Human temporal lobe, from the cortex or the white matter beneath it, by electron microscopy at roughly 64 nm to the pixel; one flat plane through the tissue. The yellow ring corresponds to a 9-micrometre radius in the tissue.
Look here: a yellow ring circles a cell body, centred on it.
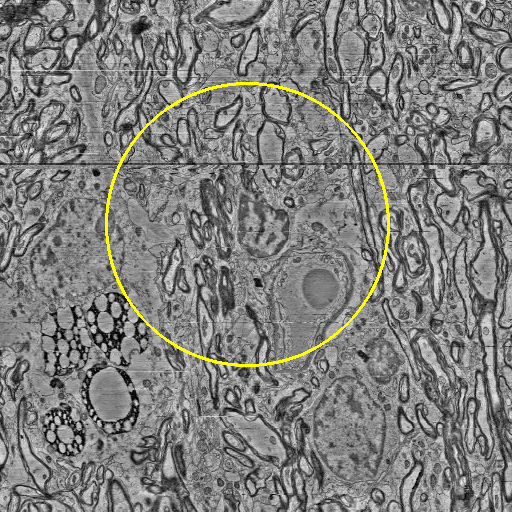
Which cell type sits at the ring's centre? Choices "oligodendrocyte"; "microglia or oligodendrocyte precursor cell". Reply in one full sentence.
The cell at the centre of the yellow ring in the picture is a microglial cell or oligodendrocyte precursor cell.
